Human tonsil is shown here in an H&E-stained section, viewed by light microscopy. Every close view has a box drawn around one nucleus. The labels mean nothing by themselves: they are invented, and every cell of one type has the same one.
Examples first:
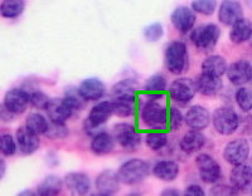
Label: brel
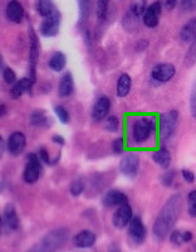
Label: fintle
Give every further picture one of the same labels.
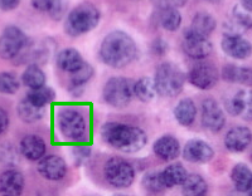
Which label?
fintle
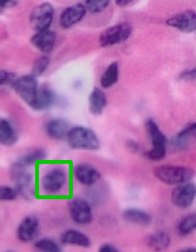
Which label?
fintle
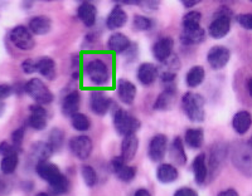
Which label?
fintle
